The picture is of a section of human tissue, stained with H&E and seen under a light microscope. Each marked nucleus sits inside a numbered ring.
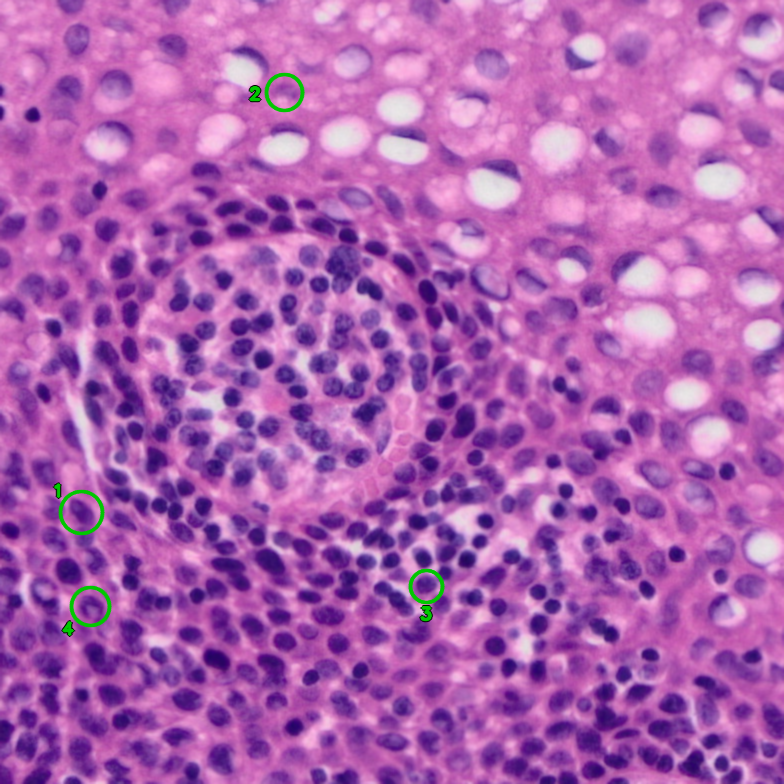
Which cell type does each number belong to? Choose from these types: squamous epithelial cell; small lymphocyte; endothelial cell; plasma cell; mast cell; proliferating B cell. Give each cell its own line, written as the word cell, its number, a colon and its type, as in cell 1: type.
cell 1: squamous epithelial cell
cell 2: squamous epithelial cell
cell 3: plasma cell
cell 4: squamous epithelial cell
